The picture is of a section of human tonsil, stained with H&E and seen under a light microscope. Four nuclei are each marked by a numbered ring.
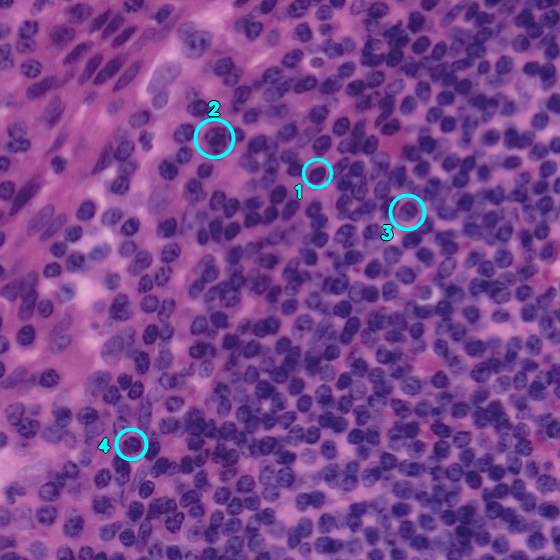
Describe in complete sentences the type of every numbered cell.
Cell 1 is a plasma cell, cell 2 is a plasma cell, cell 3 is a small lymphocyte and cell 4 is a plasma cell.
